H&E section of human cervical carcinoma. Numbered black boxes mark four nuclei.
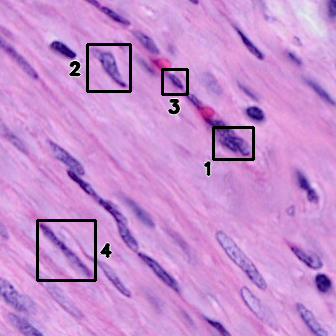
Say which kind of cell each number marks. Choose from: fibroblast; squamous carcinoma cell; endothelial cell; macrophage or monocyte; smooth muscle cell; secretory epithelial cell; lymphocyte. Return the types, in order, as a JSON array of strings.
["endothelial cell", "fibroblast", "endothelial cell", "smooth muscle cell"]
